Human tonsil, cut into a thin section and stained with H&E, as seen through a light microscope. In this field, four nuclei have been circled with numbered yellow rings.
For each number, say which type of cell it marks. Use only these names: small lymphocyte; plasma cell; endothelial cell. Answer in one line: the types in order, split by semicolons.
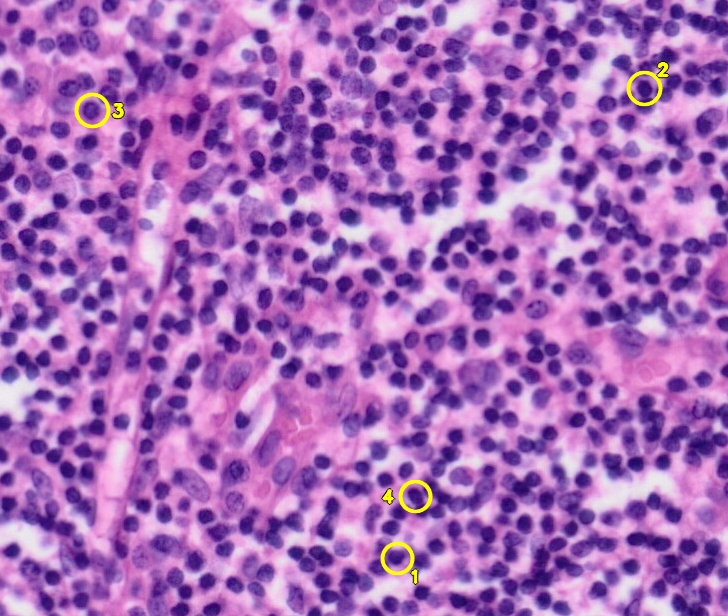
small lymphocyte; small lymphocyte; plasma cell; small lymphocyte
